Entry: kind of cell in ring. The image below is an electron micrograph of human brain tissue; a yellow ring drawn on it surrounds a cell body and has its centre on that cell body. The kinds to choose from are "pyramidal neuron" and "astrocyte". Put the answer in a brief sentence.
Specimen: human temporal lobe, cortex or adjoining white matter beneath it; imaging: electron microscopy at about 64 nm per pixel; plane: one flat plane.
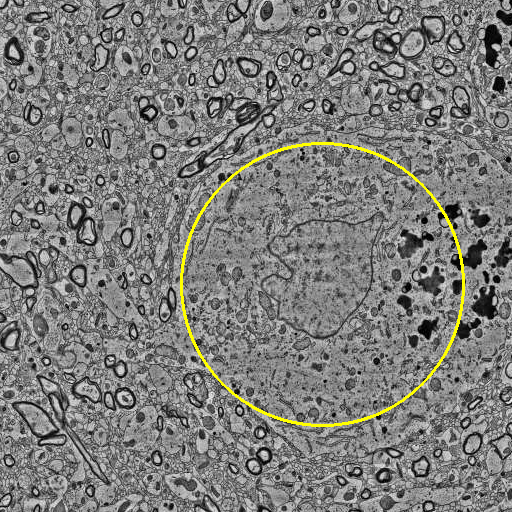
The ring has been drawn around a pyramidal neuron.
